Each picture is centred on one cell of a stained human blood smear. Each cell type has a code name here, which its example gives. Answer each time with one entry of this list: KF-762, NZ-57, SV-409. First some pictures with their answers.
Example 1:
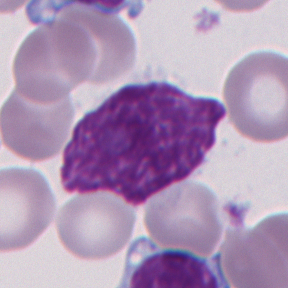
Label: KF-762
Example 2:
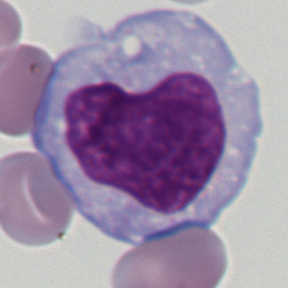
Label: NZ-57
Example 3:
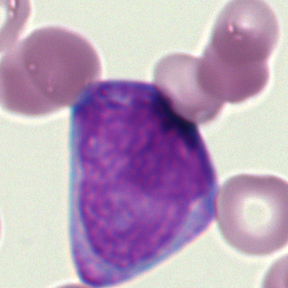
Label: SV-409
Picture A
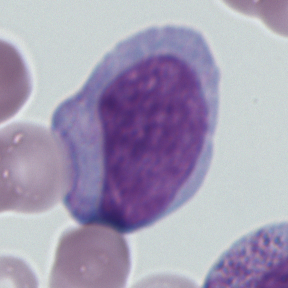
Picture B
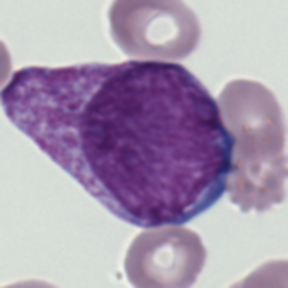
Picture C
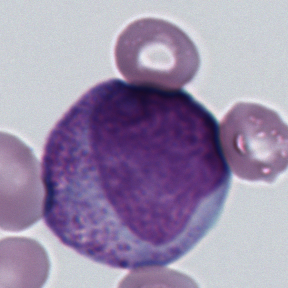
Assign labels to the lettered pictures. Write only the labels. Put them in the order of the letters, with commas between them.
SV-409, SV-409, SV-409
